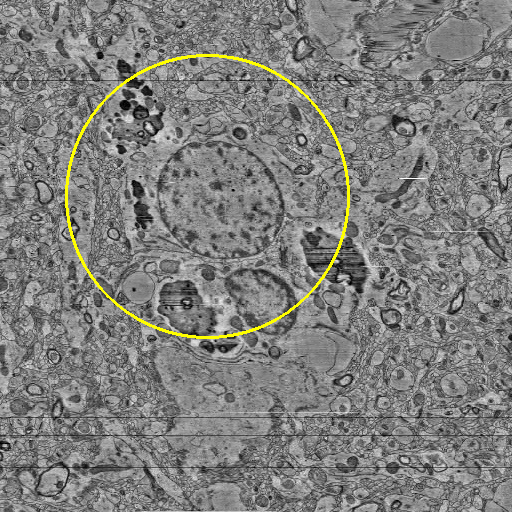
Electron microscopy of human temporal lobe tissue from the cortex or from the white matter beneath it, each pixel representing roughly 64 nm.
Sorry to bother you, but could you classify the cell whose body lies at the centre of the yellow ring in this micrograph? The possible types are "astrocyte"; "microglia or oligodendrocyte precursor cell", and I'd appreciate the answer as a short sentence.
The ringed cell body is that of an astrocyte.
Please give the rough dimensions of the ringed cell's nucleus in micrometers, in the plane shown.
Approximately 8 micrometres across, in this plane.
